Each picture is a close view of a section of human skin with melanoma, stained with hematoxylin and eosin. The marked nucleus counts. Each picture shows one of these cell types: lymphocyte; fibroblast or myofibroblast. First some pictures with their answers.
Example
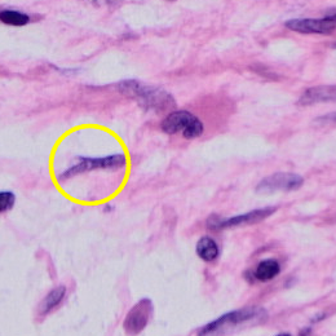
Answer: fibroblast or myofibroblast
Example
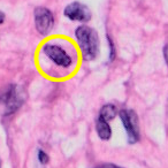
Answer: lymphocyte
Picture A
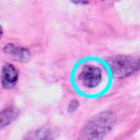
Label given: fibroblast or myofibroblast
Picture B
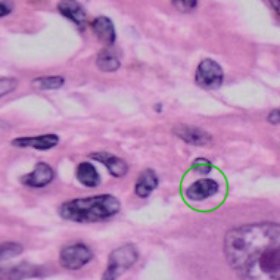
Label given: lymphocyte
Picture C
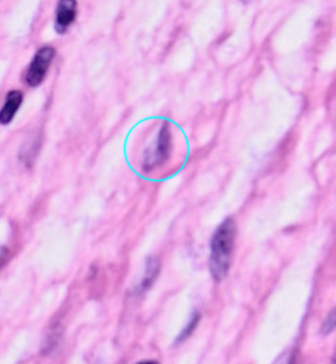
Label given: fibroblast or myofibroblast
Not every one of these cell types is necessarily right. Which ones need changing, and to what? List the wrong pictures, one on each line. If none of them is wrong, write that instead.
A: lymphocyte, not fibroblast or myofibroblast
